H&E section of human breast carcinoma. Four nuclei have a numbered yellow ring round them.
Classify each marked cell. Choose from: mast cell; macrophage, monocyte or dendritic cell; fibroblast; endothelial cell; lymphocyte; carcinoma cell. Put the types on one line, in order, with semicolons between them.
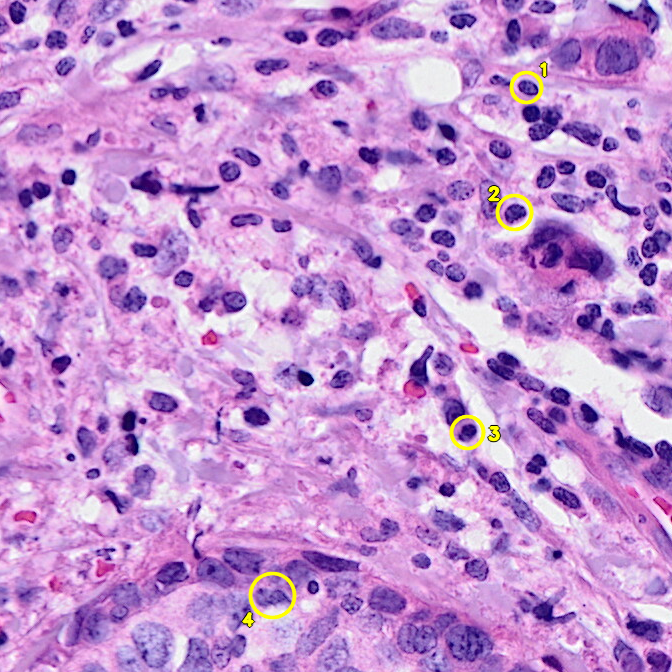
lymphocyte; lymphocyte; lymphocyte; carcinoma cell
